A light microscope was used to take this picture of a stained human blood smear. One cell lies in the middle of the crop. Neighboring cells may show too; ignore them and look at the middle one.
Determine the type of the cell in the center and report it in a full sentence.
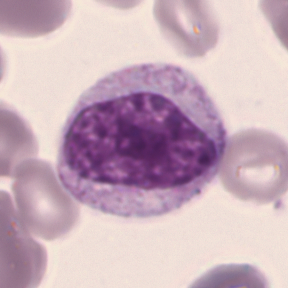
In this crop, the cell at the very middle is a metamyelocyte.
